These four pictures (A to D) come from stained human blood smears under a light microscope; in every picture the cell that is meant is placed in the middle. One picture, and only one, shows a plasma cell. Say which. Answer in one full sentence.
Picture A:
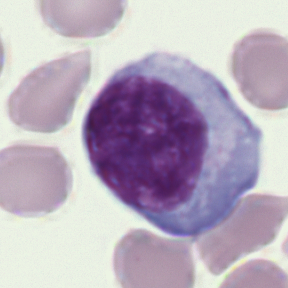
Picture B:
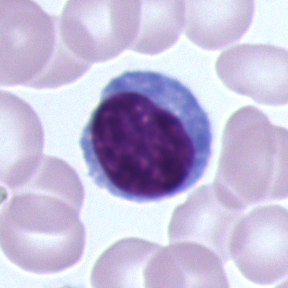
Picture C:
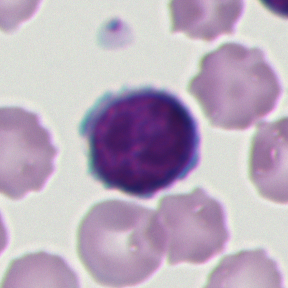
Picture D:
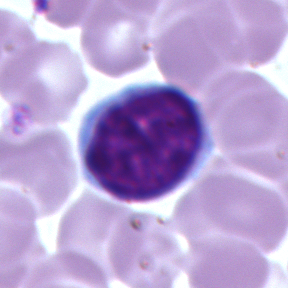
Picture A shows the plasma cell.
